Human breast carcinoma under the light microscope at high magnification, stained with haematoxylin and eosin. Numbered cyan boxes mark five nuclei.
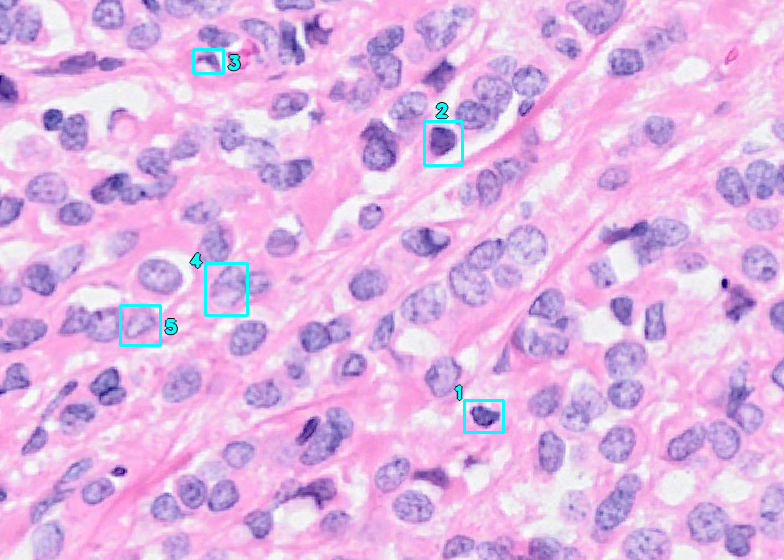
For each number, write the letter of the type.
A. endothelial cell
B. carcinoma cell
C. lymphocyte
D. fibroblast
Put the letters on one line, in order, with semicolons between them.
C; B; A; B; B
